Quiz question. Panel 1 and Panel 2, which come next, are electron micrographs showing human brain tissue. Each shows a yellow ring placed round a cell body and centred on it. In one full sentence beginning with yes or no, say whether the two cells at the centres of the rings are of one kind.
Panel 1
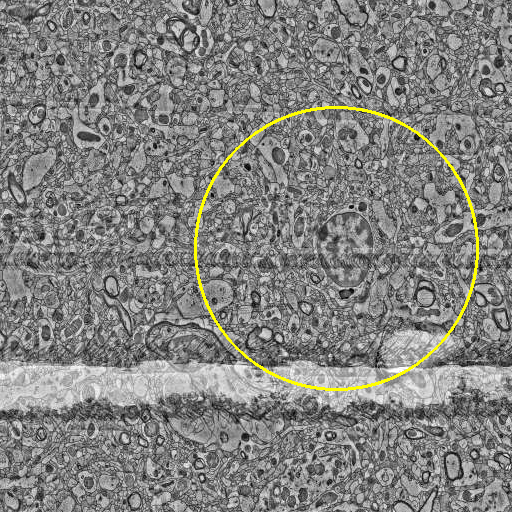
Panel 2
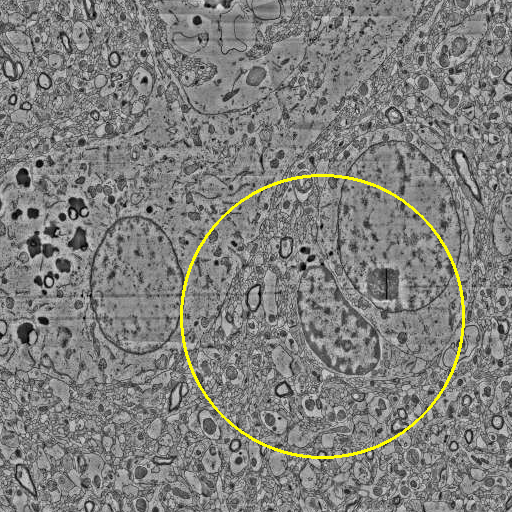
Yes, Panel 1 and Panel 2 show one kind of cell at the centre of the ring.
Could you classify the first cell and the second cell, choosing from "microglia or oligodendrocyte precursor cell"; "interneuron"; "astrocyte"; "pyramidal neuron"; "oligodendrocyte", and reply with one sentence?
Each cell at the centre of a ring is a microglial cell or oligodendrocyte precursor cell.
